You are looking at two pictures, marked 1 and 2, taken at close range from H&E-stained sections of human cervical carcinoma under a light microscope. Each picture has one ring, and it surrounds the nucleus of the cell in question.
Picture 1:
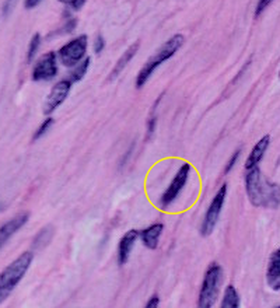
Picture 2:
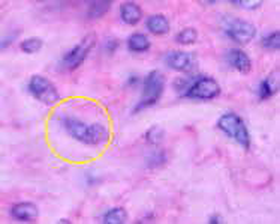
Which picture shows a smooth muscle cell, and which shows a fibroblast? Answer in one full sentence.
It is picture 1 that shows a fibroblast, and picture 2 that shows a smooth muscle cell.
